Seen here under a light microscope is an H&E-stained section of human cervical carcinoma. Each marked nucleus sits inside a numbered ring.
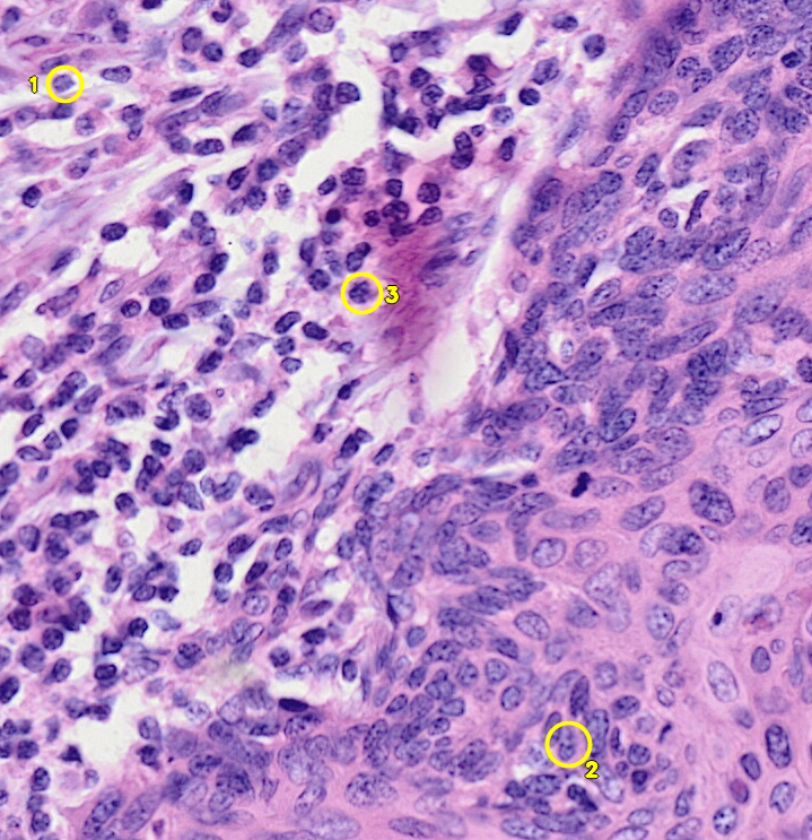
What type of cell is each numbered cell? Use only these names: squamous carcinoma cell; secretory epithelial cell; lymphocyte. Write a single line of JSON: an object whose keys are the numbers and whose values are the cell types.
{"1": "lymphocyte", "2": "squamous carcinoma cell", "3": "lymphocyte"}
